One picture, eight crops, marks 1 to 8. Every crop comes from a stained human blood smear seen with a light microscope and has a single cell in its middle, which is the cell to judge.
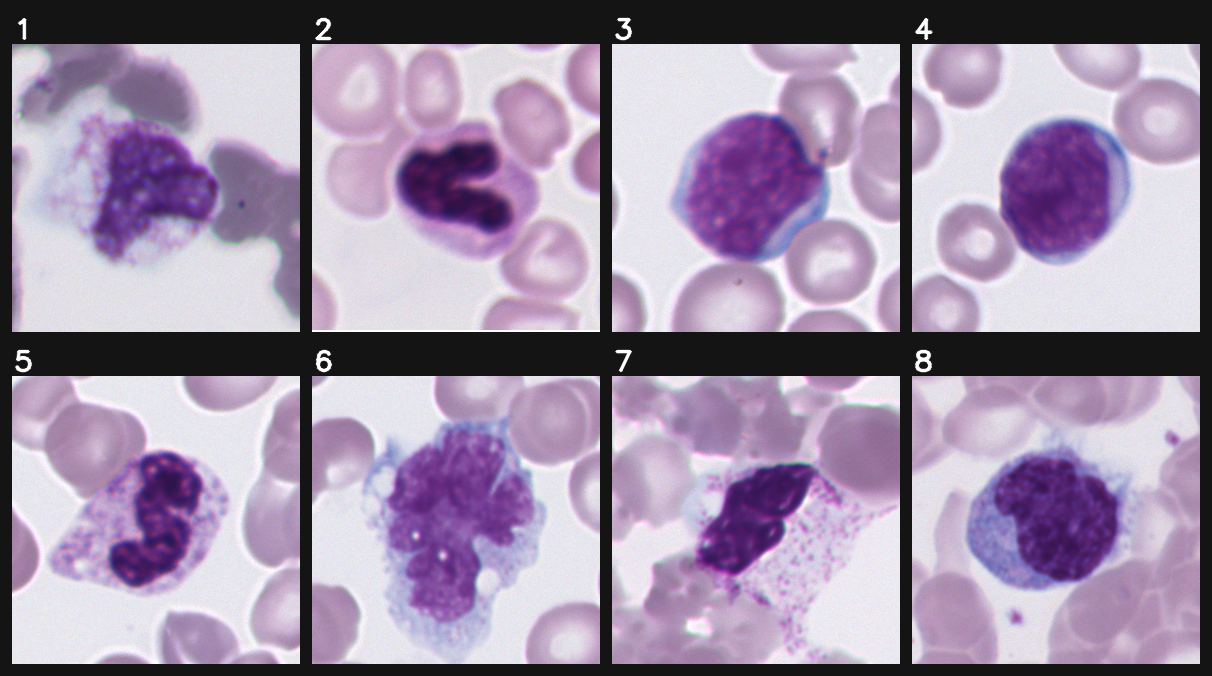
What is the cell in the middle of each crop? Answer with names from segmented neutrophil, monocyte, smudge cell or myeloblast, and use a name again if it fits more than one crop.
1: segmented neutrophil
2: segmented neutrophil
3: myeloblast
4: myeloblast
5: segmented neutrophil
6: monocyte
7: segmented neutrophil
8: monocyte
